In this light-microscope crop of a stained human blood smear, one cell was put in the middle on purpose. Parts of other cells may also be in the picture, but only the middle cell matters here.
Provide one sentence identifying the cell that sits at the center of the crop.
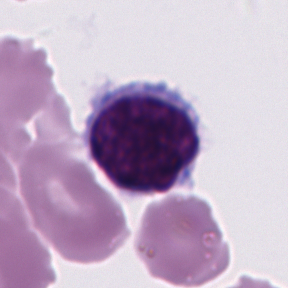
The cell in the middle of this crop is a hairy cell.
